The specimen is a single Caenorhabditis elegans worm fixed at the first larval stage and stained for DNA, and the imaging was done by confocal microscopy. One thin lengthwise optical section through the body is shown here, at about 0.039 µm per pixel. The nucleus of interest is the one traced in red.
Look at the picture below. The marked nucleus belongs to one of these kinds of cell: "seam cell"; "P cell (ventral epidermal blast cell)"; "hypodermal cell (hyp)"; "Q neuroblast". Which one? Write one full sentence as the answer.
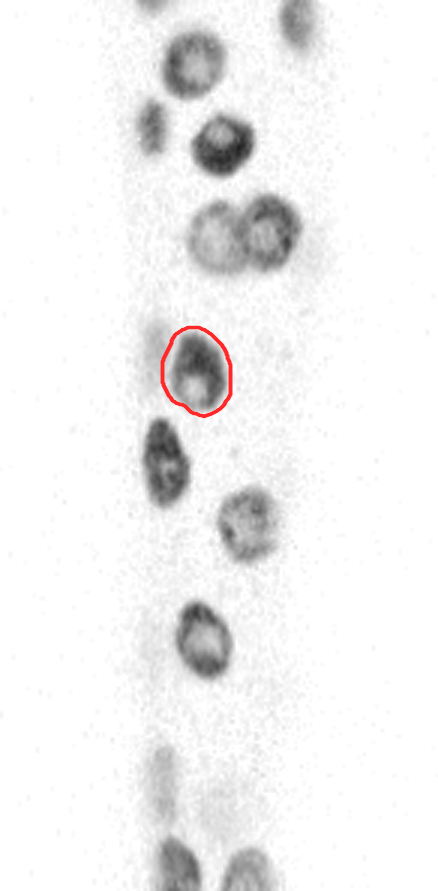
This nucleus is from a seam cell.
